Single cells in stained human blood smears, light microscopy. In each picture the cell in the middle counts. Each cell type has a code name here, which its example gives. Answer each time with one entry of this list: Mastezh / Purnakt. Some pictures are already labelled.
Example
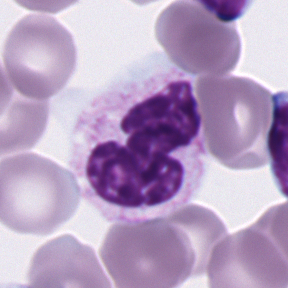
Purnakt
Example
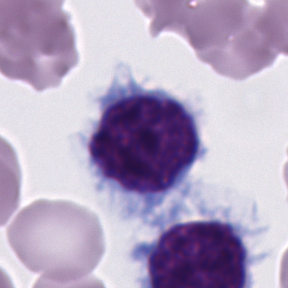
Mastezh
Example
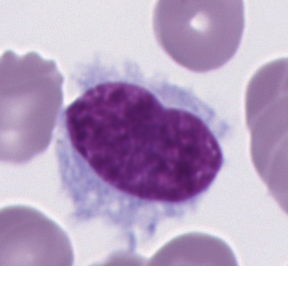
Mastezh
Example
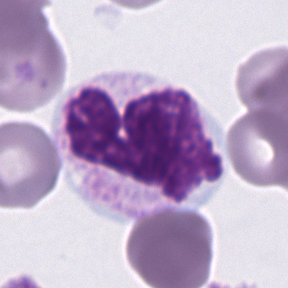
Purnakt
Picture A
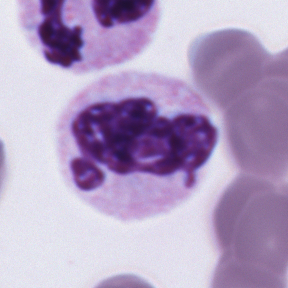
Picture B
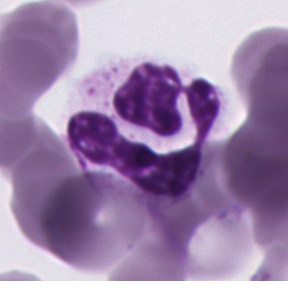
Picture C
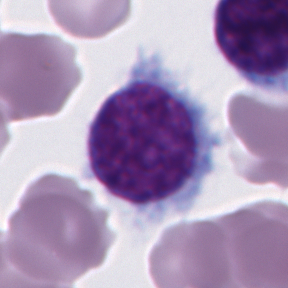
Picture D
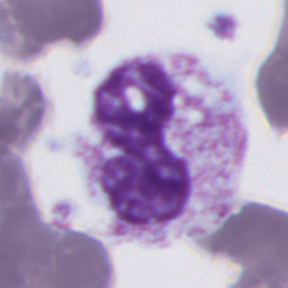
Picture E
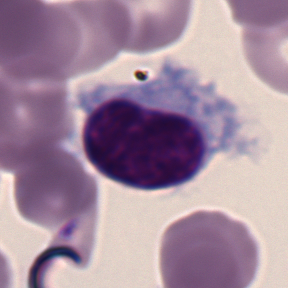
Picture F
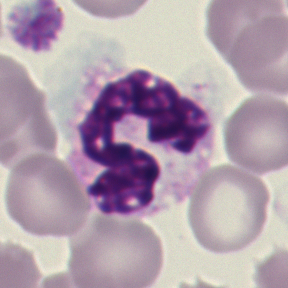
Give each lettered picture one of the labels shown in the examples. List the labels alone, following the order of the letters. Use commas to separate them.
Purnakt, Purnakt, Mastezh, Purnakt, Mastezh, Purnakt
